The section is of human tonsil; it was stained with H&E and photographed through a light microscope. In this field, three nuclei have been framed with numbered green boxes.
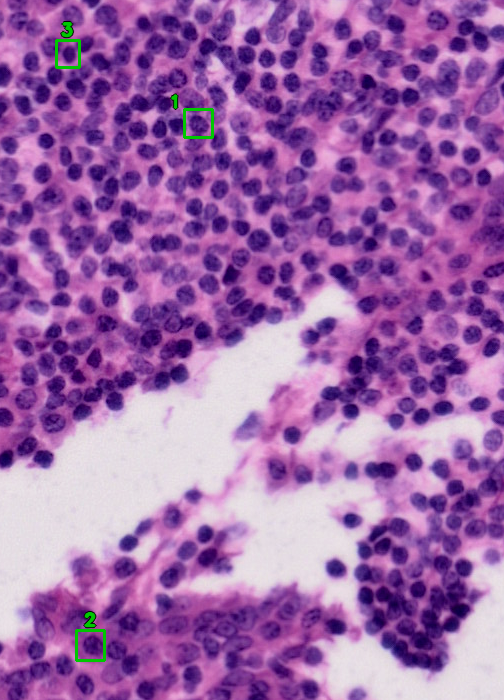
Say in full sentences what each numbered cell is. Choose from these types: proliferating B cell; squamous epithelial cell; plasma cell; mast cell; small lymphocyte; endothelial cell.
Cell 1 is a small lymphocyte, cell 2 is a plasma cell and cell 3 is a small lymphocyte.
